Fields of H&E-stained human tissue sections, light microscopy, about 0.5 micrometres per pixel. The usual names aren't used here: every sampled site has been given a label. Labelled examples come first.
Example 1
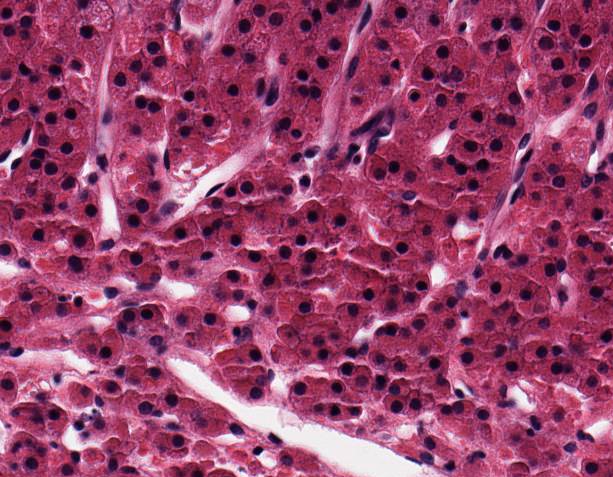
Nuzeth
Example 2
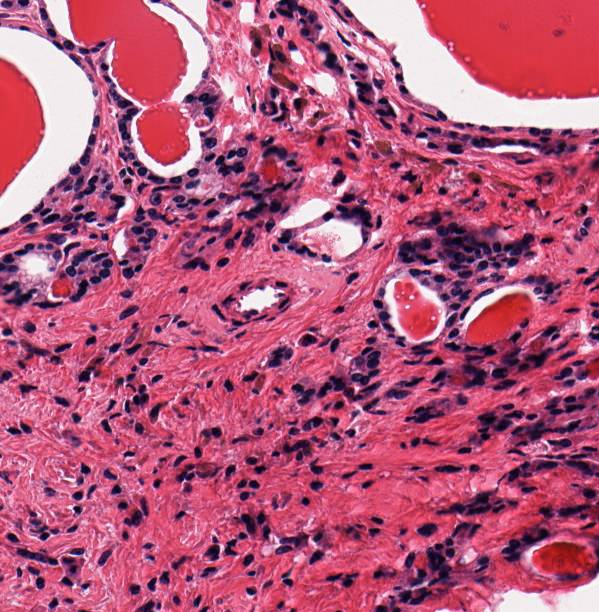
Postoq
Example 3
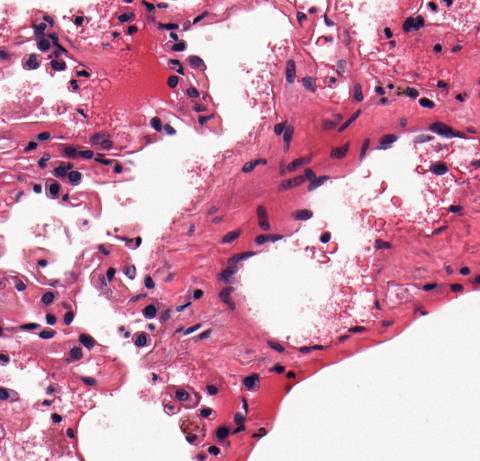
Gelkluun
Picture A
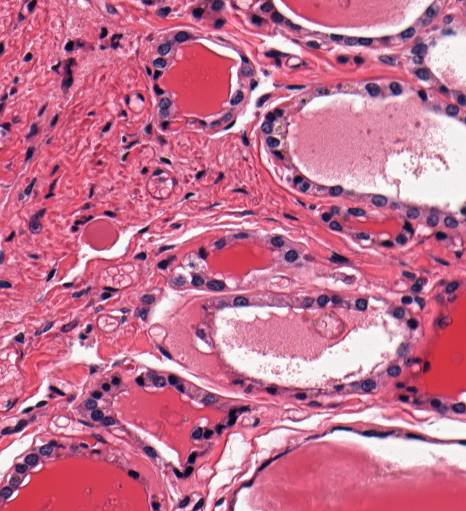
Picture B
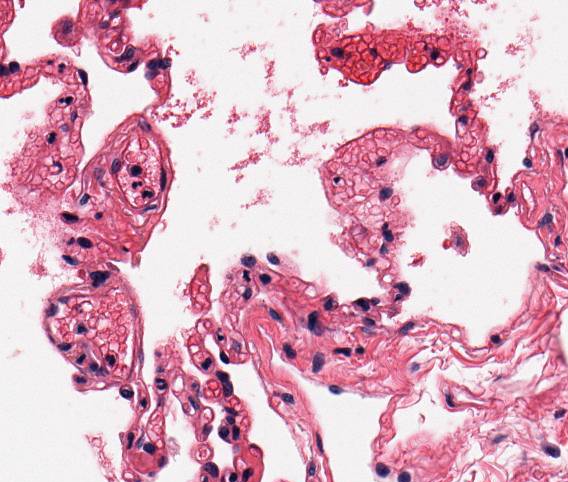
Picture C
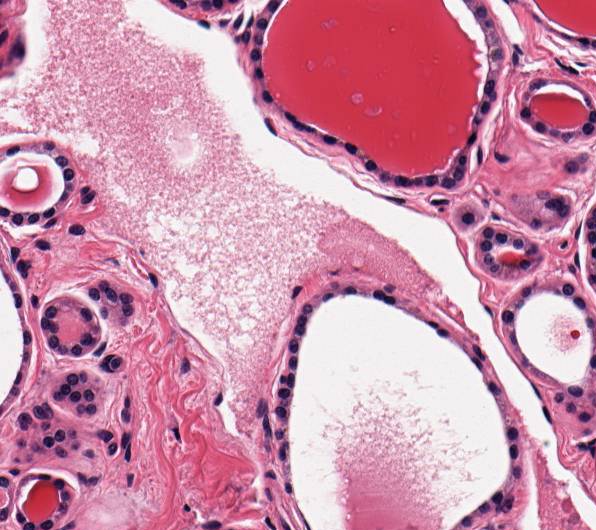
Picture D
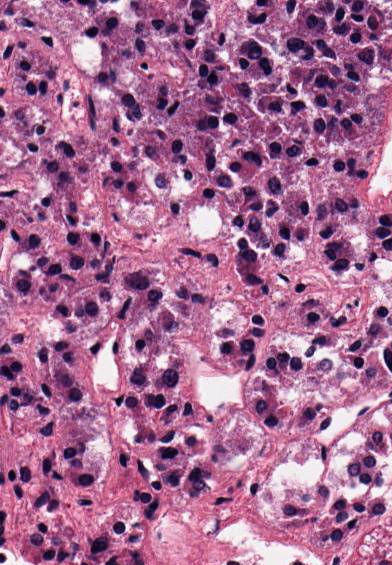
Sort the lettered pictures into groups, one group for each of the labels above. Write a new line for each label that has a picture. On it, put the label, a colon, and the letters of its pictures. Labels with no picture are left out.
Nuzeth: D
Postoq: A, C
Gelkluun: B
